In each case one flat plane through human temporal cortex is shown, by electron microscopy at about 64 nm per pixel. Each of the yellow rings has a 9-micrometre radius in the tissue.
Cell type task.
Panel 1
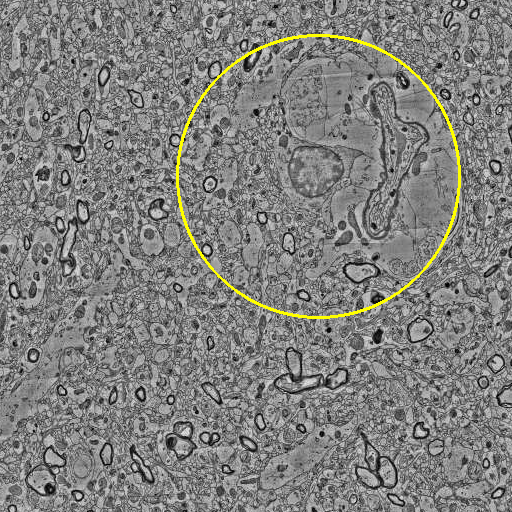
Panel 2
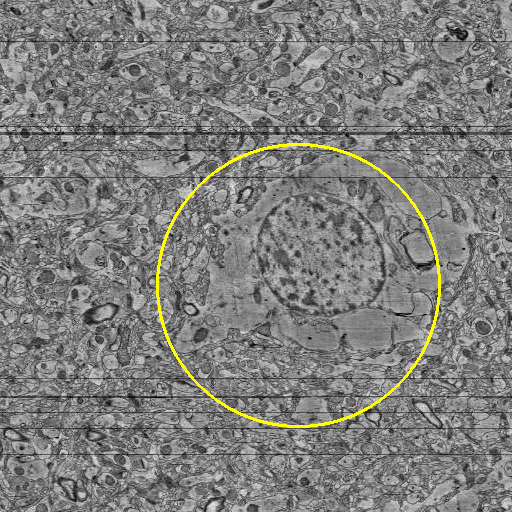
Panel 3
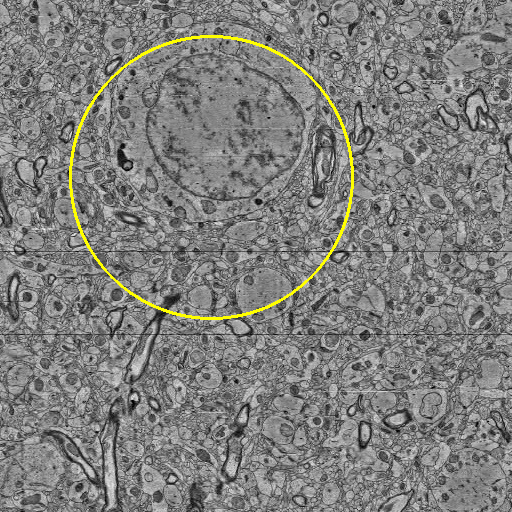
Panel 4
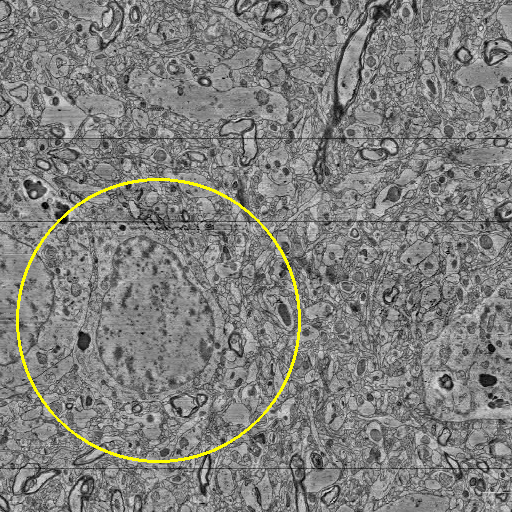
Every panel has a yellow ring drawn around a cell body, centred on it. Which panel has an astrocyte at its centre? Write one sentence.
It sits at the centre of the ring in Panel 2.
